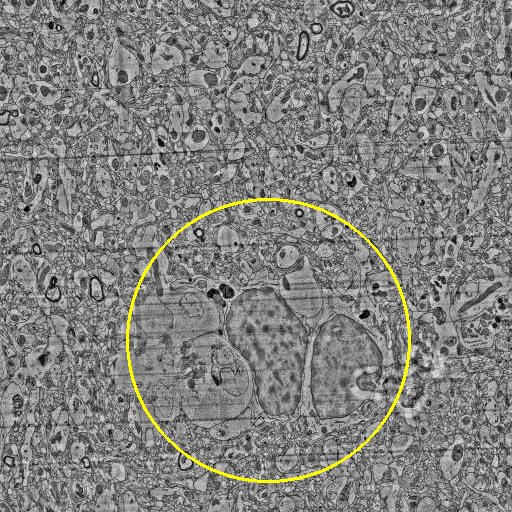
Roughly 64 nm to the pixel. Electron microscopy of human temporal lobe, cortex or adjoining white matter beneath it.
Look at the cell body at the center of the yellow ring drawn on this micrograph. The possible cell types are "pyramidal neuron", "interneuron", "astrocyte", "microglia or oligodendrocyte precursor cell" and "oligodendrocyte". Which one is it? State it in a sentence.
The cell in the middle of the ring is a microglial cell or oligodendrocyte precursor cell.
